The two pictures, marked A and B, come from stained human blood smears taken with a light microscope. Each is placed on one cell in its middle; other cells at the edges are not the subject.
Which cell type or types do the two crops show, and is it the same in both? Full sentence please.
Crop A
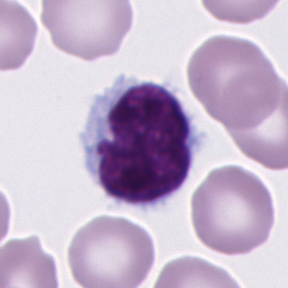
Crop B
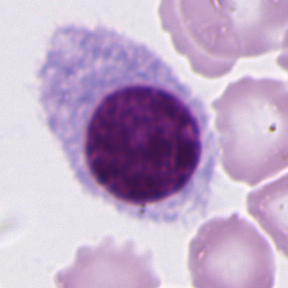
Yes, the cells that both crops show at the centre are hairy cells.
